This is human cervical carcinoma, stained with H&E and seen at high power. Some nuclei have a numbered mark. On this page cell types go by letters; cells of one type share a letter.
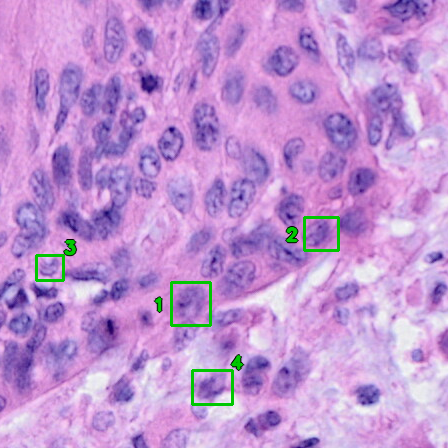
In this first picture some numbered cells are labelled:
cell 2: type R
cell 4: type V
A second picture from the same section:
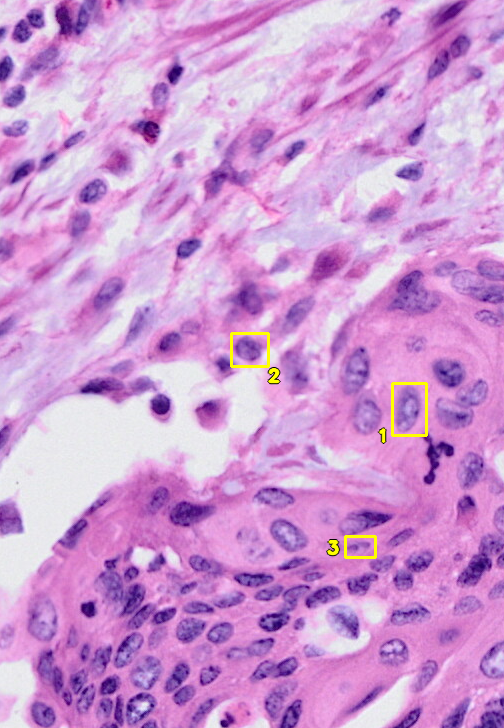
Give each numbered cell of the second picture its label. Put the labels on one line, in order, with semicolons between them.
type R; type V; type R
